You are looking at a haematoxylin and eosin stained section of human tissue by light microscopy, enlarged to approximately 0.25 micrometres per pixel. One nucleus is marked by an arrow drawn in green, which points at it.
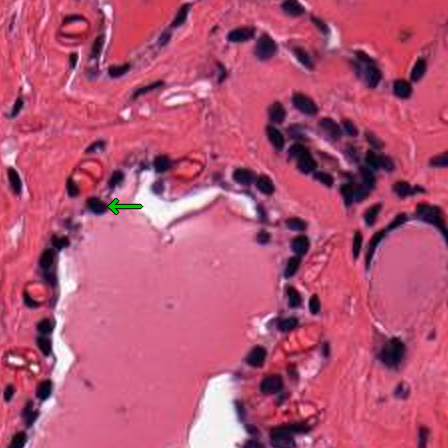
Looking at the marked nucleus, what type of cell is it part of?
thyroid follicular cell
